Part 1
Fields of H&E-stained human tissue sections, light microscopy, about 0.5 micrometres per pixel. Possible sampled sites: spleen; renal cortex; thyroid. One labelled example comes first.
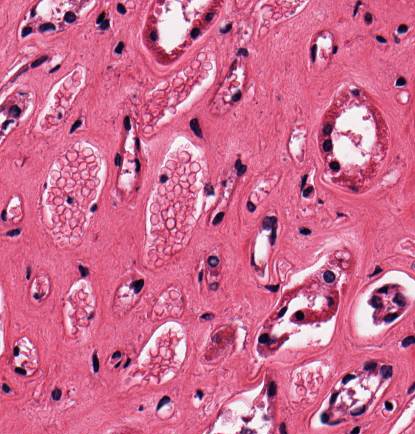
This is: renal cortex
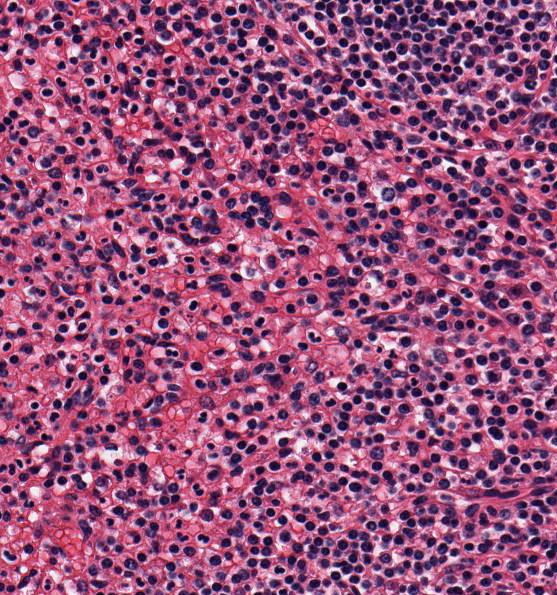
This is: spleen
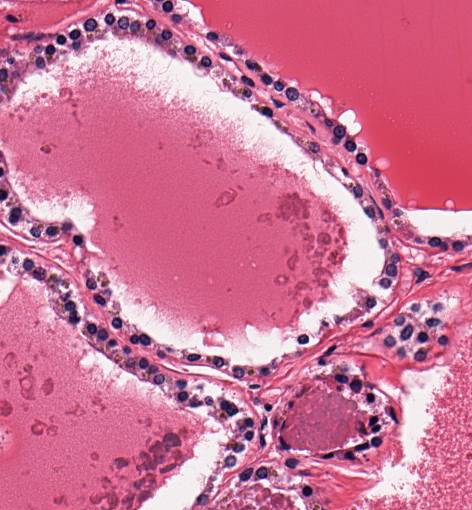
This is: thyroid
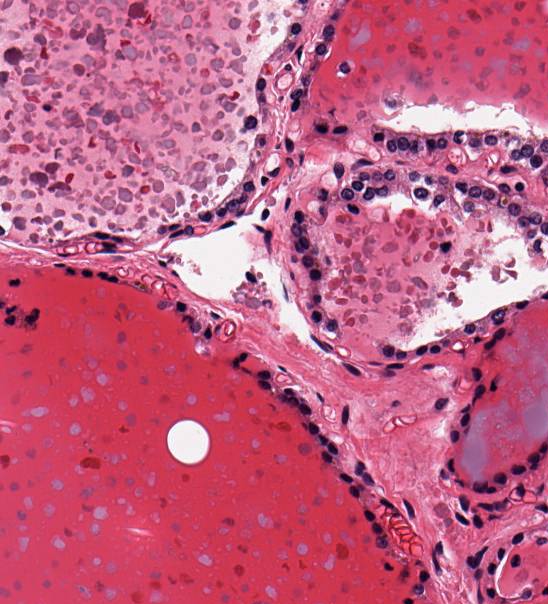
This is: thyroid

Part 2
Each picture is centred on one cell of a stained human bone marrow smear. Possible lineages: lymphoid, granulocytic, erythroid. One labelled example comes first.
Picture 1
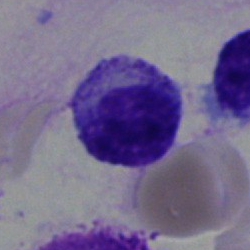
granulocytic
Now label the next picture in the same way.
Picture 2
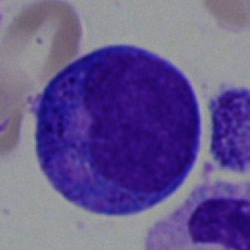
granulocytic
